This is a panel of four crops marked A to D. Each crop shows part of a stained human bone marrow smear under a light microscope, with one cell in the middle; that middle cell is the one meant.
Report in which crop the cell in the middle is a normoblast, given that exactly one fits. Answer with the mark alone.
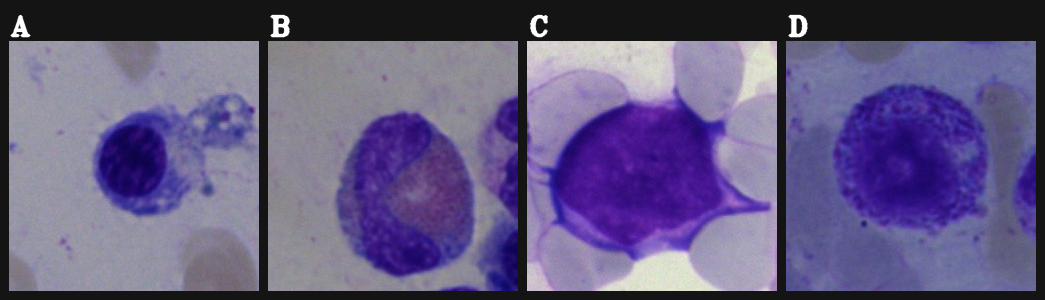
A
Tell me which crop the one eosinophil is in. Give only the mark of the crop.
B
